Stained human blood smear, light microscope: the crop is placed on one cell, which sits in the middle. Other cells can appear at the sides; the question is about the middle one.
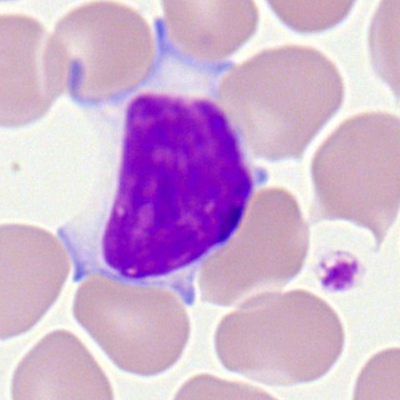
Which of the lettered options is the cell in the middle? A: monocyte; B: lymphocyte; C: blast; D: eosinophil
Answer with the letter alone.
B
